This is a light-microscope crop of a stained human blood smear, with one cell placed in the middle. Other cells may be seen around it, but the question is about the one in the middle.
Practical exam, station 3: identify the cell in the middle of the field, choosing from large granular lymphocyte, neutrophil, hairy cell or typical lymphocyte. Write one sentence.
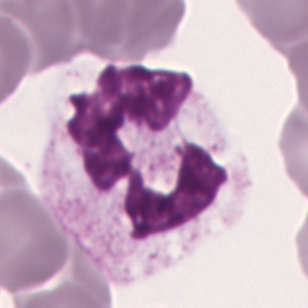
In short, the cell at the center is a neutrophil.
